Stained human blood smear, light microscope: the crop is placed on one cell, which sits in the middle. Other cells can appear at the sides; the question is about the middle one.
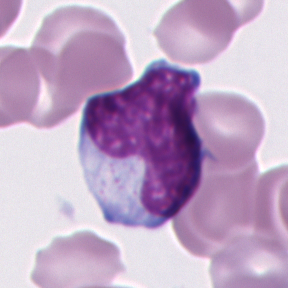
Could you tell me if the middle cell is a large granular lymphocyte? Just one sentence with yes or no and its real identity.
Yes, the centered cell in this field is a large granular lymphocyte.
